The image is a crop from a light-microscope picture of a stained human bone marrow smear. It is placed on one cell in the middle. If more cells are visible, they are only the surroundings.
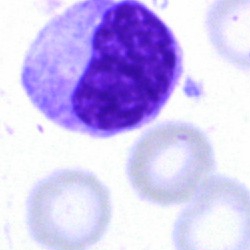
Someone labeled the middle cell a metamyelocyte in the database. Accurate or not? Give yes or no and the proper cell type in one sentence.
Yes, the cell in the middle of this smear crop is a metamyelocyte.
